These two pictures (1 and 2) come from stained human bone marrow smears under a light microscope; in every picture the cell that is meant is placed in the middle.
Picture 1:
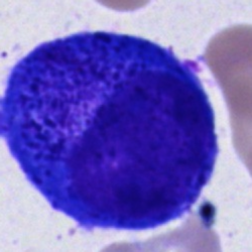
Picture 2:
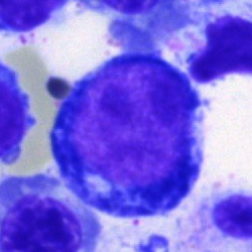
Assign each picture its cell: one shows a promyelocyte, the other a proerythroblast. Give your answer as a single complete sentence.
Picture 1 shows a promyelocyte and picture 2 shows a proerythroblast.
